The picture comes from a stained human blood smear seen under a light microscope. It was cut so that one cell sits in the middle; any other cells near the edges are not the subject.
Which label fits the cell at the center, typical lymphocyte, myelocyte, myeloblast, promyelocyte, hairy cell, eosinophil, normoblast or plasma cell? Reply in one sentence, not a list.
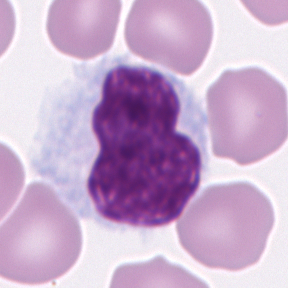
The crop centres on a single cell, and that cell is a hairy cell.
